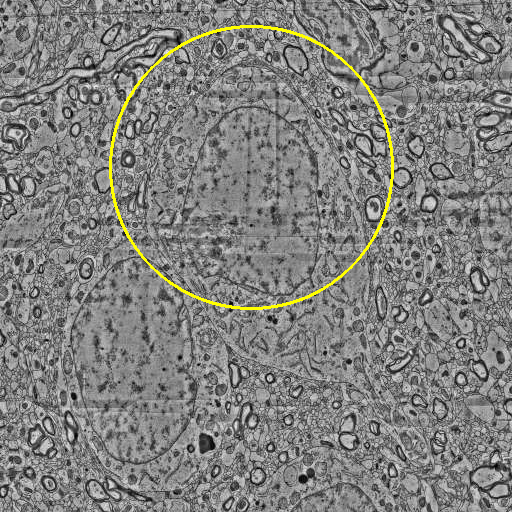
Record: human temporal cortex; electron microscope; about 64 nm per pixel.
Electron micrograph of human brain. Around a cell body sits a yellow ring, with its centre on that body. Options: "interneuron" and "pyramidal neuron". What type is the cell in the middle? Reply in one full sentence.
The cell sitting at the centre of the yellow ring is a pyramidal neuron.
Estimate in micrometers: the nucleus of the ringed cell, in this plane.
Roughly 12 by 9 micrometres in this plane, for the nucleus of the ringed cell.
